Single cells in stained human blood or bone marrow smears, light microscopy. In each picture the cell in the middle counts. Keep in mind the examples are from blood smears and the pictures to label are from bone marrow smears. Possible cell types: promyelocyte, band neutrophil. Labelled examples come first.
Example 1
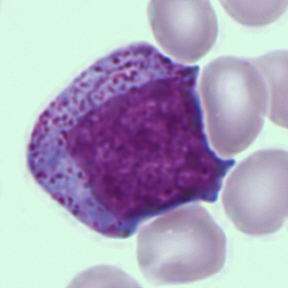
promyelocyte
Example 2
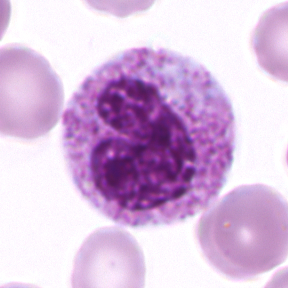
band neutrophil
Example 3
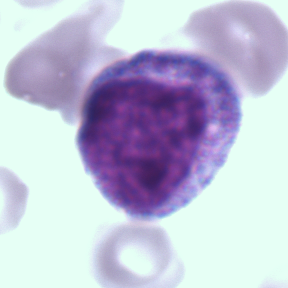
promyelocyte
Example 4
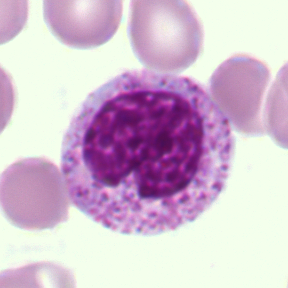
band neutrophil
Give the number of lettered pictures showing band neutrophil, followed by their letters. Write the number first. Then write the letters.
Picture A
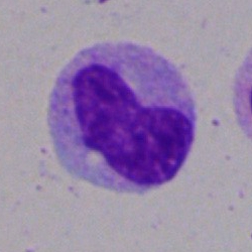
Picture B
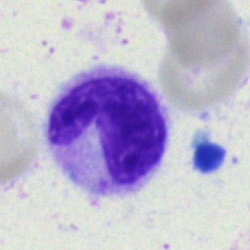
2, namely A, B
